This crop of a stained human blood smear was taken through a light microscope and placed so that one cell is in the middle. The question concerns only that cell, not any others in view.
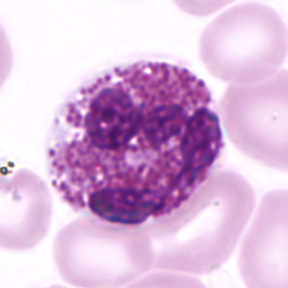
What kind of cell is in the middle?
eosinophil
